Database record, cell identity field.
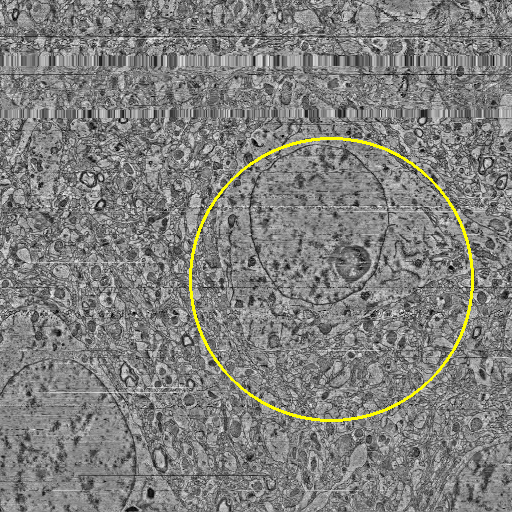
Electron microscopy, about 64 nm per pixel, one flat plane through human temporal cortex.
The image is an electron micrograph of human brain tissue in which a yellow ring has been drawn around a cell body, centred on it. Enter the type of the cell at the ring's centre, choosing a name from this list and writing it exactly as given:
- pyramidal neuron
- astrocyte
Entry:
pyramidal neuron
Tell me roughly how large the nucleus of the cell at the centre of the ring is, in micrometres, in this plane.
About 11 by 9 micrometers for the nucleus, in this plane.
